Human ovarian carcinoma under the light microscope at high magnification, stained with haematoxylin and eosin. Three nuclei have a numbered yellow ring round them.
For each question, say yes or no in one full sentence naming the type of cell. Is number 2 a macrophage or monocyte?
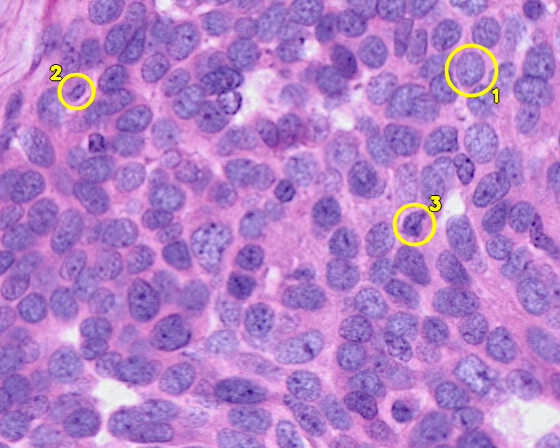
Yes, the cell that has number 2 is a macrophage or monocyte.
